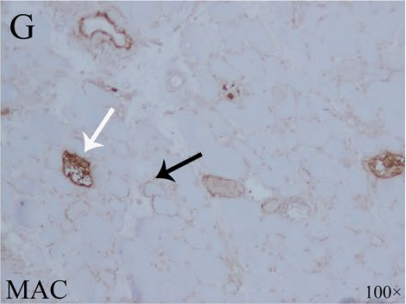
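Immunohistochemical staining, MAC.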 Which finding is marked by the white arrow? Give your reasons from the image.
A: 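The fibre at the white arrow is stained brown within its interior, unlike the pale fibres around it.
Conclusion: necrotic muscle fibre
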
